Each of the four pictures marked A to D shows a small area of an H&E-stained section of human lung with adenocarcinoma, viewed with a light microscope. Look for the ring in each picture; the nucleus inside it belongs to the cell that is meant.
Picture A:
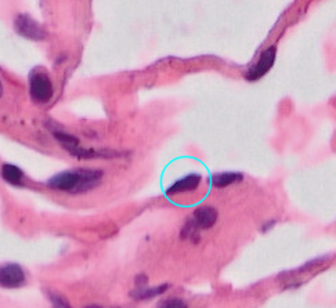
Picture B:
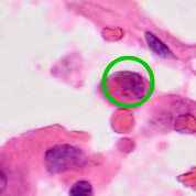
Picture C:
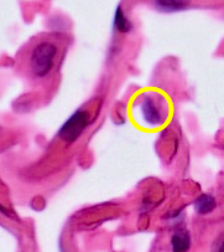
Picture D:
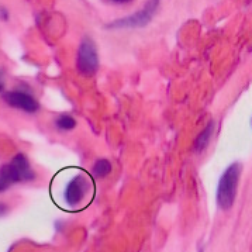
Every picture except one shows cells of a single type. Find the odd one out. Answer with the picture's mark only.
B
